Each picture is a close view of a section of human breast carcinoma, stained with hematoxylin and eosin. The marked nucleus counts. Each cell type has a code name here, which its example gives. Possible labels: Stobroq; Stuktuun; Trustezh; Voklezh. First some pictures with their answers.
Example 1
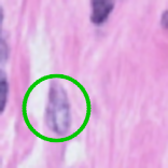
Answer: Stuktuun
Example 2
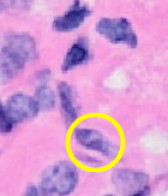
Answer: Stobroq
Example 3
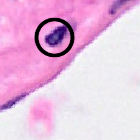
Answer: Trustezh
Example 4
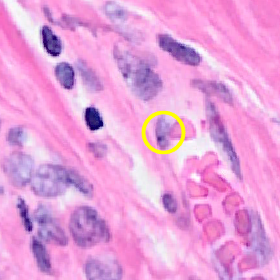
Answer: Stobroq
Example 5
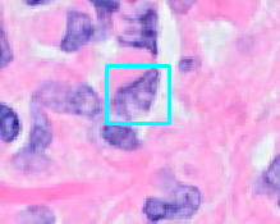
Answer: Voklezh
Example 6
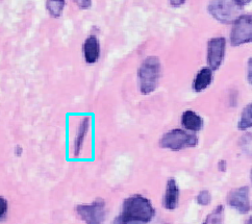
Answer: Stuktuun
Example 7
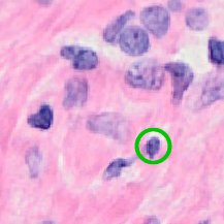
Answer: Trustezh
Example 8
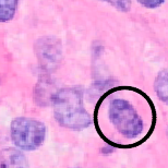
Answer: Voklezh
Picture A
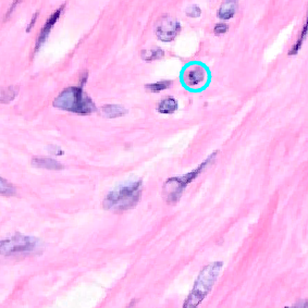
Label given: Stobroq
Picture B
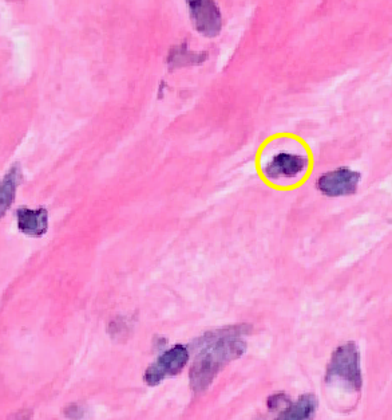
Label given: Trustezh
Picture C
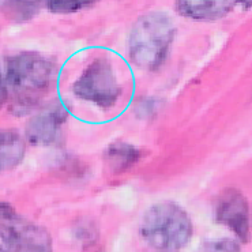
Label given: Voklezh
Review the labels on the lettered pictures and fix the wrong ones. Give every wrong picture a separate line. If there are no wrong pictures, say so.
Every label is right.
